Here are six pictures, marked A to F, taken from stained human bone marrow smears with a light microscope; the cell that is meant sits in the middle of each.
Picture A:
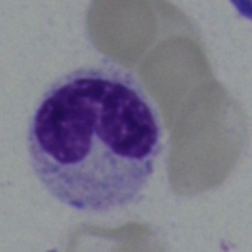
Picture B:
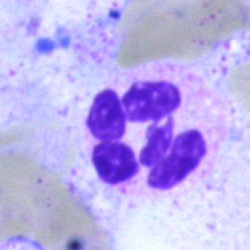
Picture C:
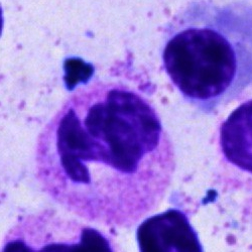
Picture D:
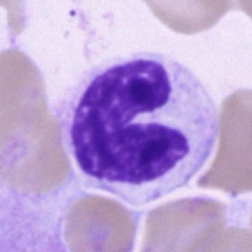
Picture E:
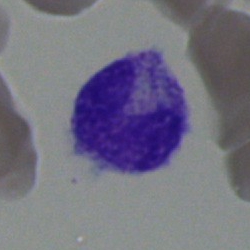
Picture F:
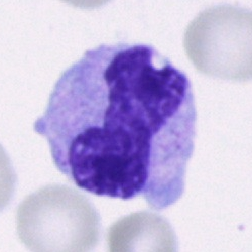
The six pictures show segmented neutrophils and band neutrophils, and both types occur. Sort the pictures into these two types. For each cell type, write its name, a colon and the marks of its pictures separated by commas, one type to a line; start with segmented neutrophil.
segmented neutrophil: B, C
band neutrophil: A, D, E, F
